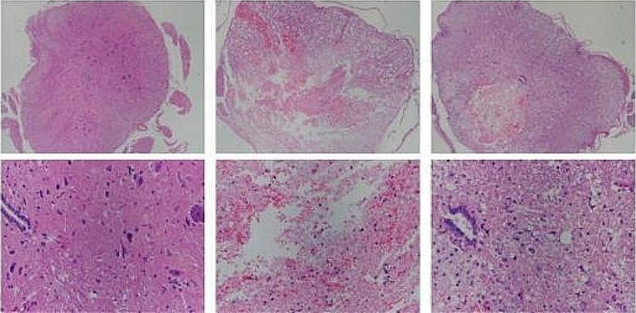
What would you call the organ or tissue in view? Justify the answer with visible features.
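Low-power views show roughly oval cross-sections of a solid neural organ. Pink-stained tissue with scattered purple nuclei at high power.
Answer: spinal cord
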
